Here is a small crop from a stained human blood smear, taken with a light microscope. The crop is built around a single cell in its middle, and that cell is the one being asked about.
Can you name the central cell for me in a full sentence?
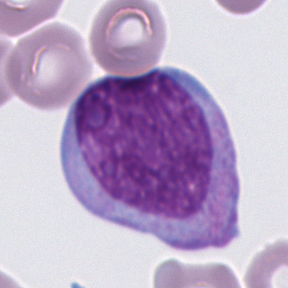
Regarding the central cell, it is an atypical promyelocyte.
